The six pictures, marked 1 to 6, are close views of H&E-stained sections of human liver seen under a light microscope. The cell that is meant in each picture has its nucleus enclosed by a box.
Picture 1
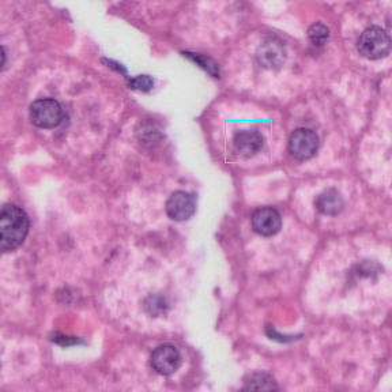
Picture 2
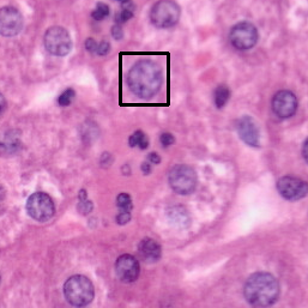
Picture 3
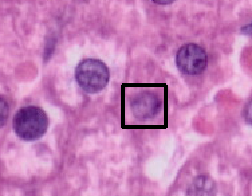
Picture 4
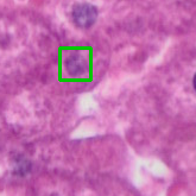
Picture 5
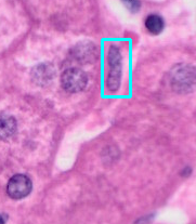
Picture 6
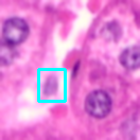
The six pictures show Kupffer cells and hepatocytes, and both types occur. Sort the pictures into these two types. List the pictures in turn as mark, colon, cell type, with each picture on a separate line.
1: hepatocyte
2: hepatocyte
3: hepatocyte
4: hepatocyte
5: Kupffer cell
6: Kupffer cell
